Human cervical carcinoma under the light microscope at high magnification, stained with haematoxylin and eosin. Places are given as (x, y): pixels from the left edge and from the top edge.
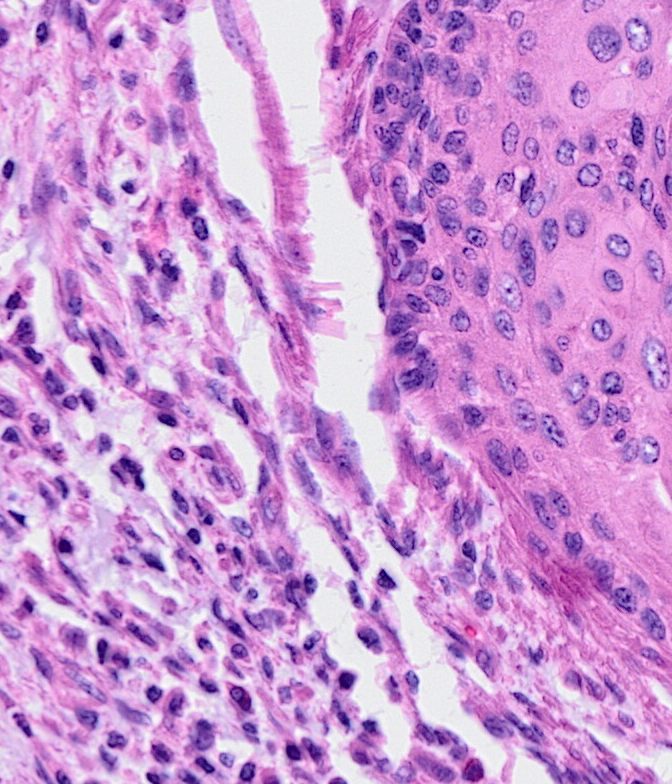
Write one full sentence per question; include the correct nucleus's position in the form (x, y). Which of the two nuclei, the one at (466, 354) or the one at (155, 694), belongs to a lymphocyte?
The cell to which the nucleus at (155, 694) belongs is a lymphocyte.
